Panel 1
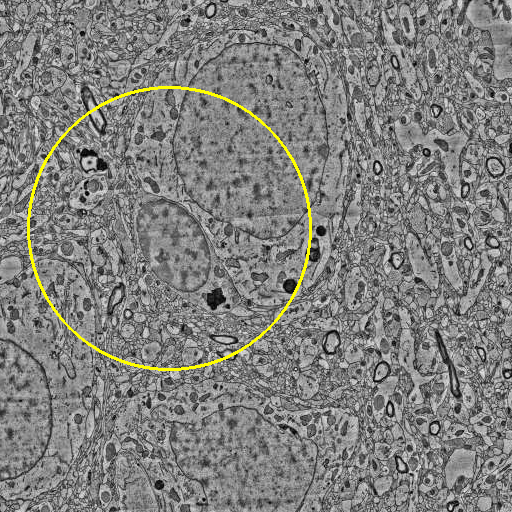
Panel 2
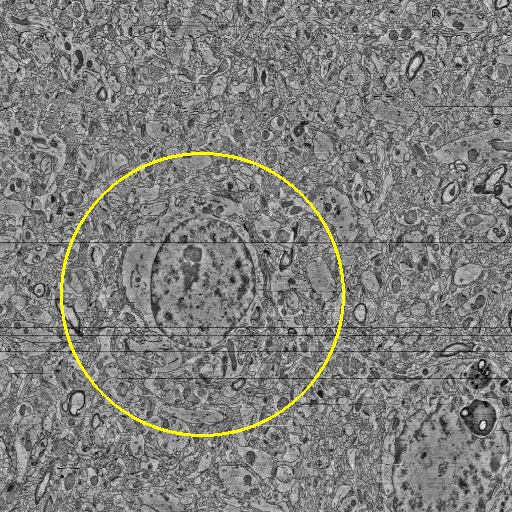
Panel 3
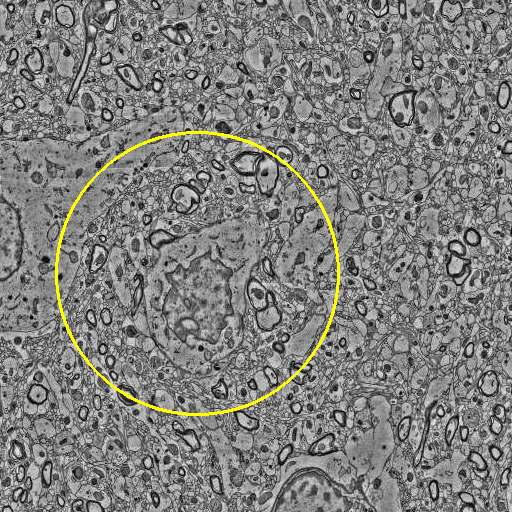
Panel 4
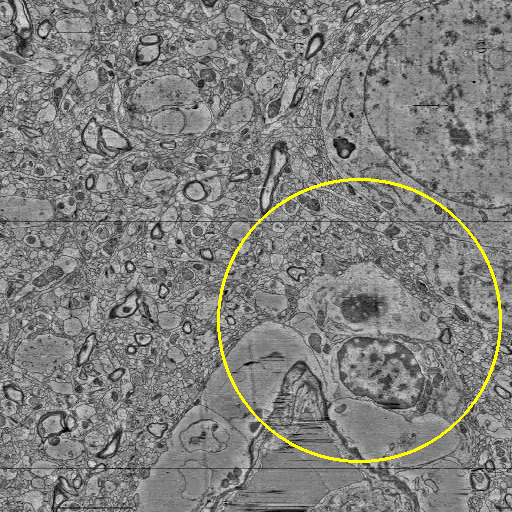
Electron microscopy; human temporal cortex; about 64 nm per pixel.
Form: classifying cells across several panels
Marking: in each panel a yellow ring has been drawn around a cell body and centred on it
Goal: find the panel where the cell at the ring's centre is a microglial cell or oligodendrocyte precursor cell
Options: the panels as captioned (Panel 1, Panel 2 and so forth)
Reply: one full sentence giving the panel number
Panel 4 shows the wanted cell at the centre of its ring.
